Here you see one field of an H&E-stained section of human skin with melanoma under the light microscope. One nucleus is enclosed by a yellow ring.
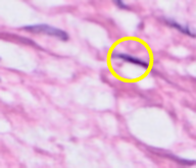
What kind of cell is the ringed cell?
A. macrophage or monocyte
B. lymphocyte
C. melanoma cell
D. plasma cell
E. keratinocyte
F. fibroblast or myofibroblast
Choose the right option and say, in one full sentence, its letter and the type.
The correct choice is option F; the ringed cell is a fibroblast or myofibroblast.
